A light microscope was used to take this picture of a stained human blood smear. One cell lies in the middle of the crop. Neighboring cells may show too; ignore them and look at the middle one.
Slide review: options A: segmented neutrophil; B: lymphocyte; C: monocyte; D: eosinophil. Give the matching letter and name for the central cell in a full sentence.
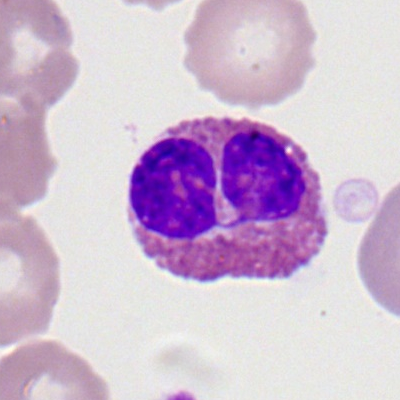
The cell at the centre, correctly named in option D, is an eosinophil.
